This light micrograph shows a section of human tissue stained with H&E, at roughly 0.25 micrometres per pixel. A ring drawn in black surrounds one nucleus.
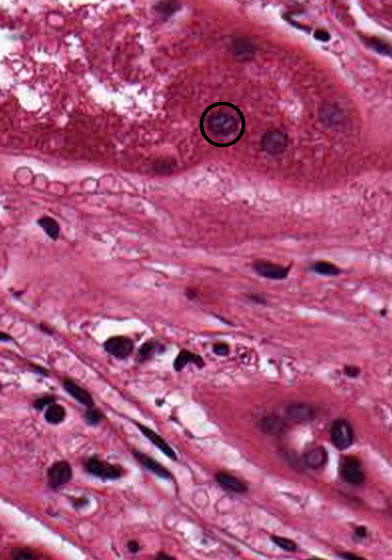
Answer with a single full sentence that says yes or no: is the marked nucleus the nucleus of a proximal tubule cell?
Yes, within this field the marked nucleus is that of a proximal tubule cell.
